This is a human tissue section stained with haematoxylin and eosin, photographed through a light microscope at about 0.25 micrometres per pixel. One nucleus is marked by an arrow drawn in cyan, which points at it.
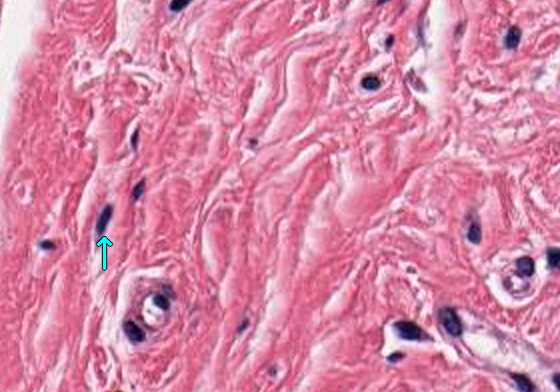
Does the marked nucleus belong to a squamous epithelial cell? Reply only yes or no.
no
